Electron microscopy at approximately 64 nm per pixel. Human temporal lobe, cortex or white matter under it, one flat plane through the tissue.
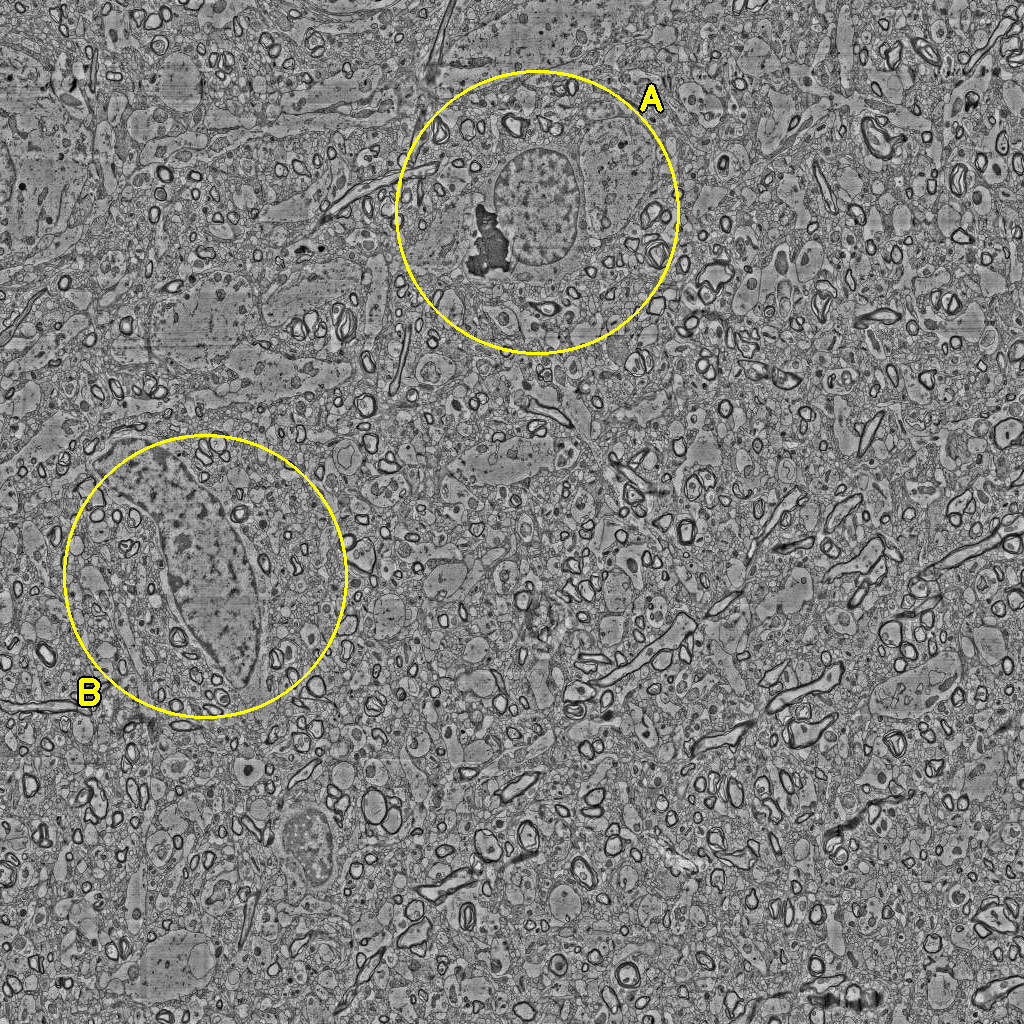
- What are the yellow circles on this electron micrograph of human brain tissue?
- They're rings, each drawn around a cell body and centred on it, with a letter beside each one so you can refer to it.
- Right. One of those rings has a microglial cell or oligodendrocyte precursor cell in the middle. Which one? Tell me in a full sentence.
It's ring B.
